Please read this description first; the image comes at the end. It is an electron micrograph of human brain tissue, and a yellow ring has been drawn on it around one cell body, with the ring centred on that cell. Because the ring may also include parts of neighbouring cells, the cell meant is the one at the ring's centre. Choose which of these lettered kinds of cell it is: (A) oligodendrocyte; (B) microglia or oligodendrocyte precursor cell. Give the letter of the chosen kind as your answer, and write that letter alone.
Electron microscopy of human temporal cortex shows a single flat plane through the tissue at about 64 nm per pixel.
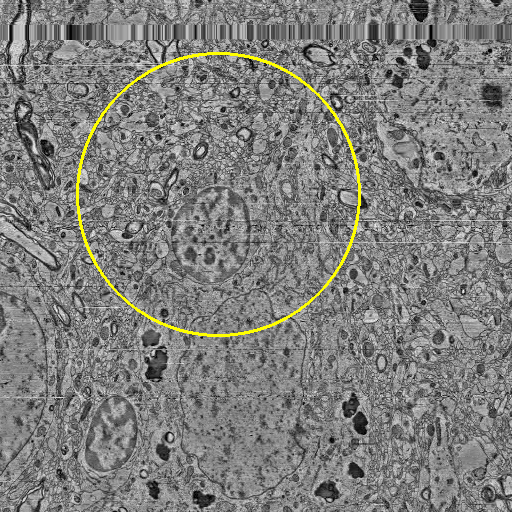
A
